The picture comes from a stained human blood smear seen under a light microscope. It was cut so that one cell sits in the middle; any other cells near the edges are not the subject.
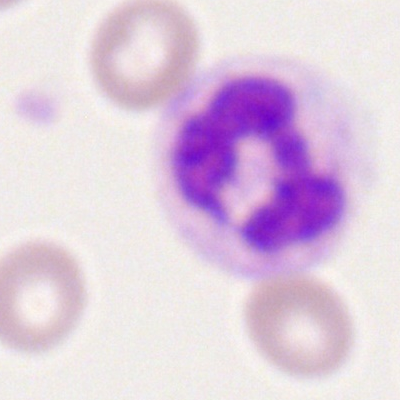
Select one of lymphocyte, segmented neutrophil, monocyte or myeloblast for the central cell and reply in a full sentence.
Positioned in the middle of the crop is a segmented neutrophil.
